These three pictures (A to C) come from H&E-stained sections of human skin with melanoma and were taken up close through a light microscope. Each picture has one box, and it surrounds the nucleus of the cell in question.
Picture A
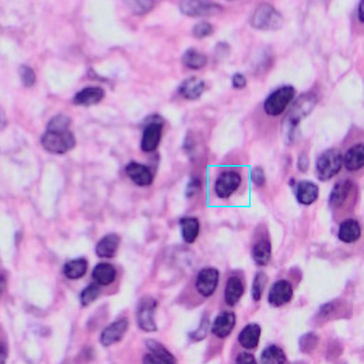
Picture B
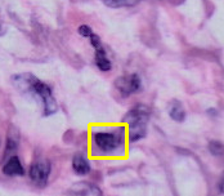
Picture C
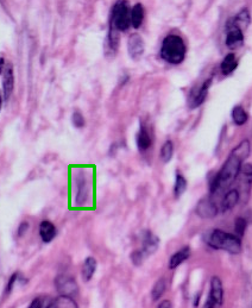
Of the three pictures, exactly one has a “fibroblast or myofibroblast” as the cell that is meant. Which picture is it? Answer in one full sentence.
Picture C shows the “fibroblast or myofibroblast”.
